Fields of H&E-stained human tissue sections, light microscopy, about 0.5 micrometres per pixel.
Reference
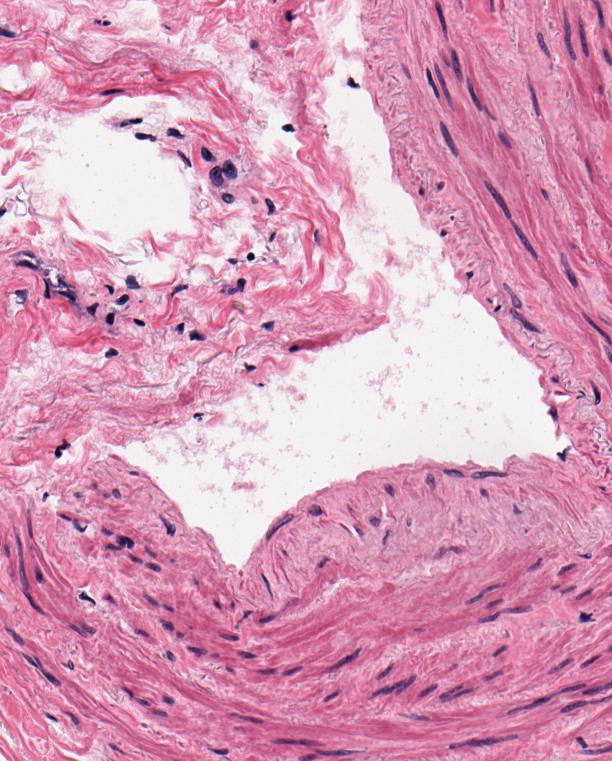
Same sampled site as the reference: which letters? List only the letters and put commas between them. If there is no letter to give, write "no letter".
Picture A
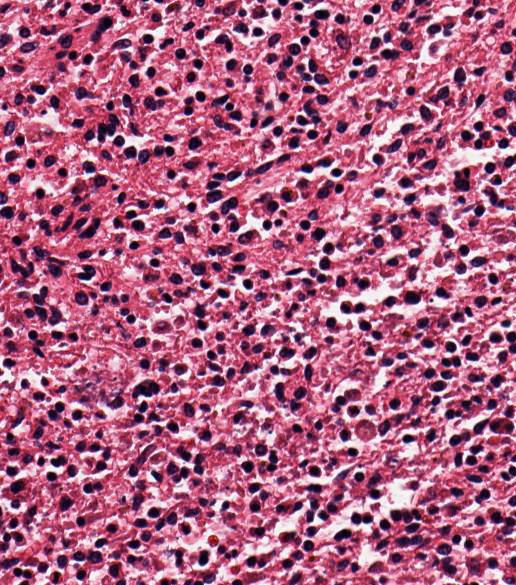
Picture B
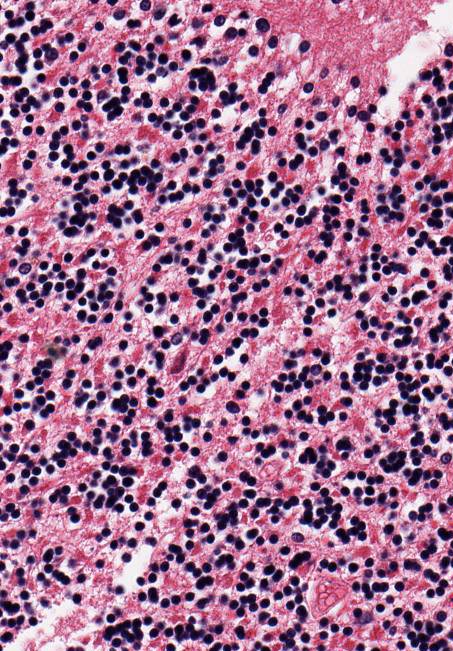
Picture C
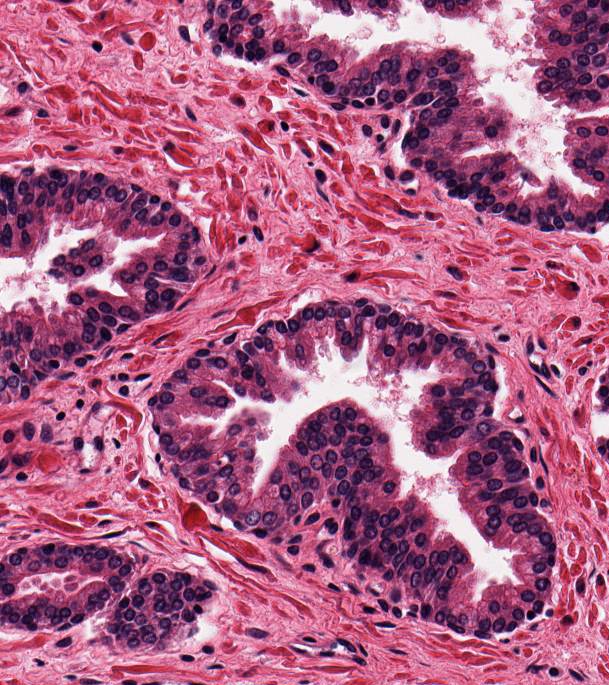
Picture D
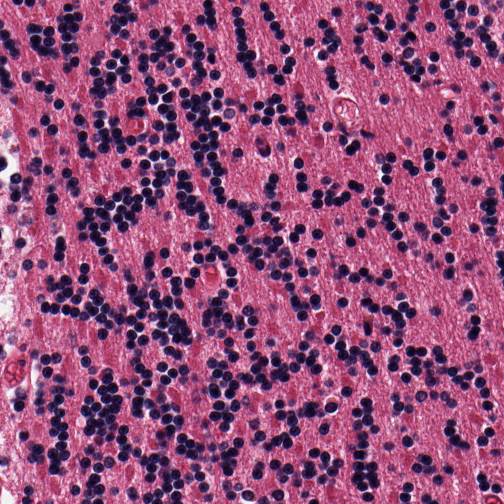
no letter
